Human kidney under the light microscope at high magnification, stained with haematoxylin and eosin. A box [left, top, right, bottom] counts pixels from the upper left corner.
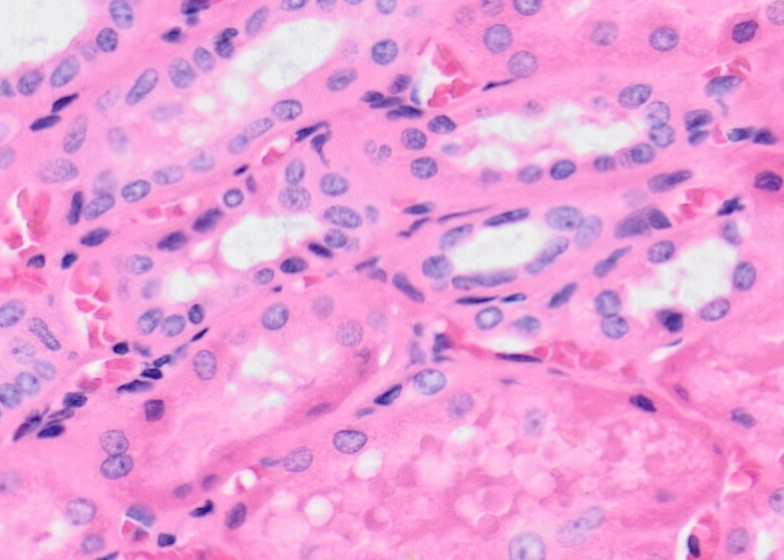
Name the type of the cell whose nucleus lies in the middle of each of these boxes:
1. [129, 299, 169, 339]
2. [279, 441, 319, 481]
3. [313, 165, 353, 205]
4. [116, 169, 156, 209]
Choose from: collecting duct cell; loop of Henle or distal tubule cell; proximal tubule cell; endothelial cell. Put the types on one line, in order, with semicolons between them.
collecting duct cell; proximal tubule cell; collecting duct cell; collecting duct cell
